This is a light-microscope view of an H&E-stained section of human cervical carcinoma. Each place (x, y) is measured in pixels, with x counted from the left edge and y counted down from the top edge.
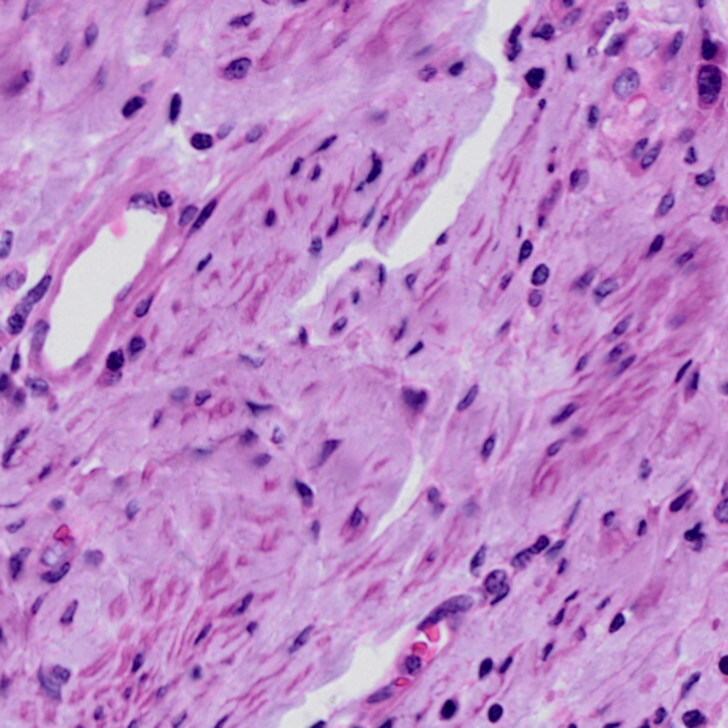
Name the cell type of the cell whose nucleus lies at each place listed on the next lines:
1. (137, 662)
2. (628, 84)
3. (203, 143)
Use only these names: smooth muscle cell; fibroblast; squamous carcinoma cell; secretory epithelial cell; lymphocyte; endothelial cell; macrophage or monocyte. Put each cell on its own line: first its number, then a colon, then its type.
1: smooth muscle cell
2: endothelial cell
3: lymphocyte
